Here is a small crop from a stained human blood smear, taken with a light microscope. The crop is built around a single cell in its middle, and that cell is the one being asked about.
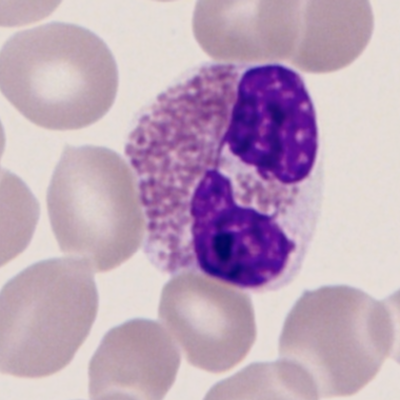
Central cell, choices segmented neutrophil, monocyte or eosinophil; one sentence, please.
Within this crop, an eosinophil occupies the central position.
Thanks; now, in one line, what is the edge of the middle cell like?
Around its whole circumference the outline stays smooth, free of projections.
